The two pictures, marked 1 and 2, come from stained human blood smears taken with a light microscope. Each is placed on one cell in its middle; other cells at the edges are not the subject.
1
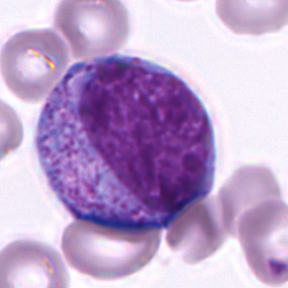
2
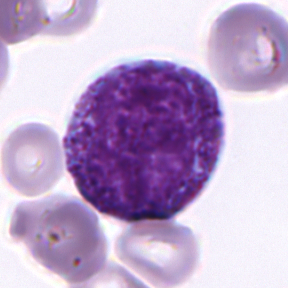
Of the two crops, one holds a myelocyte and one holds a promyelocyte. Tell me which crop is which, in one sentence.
Among the crops, crop 1 is a promyelocyte and crop 2 is a myelocyte.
